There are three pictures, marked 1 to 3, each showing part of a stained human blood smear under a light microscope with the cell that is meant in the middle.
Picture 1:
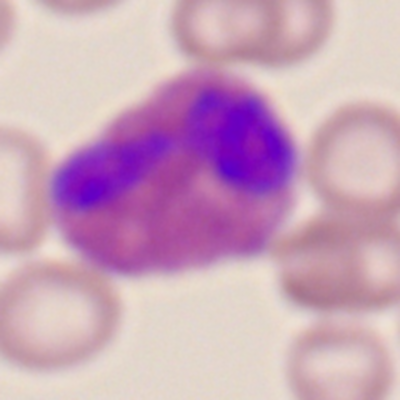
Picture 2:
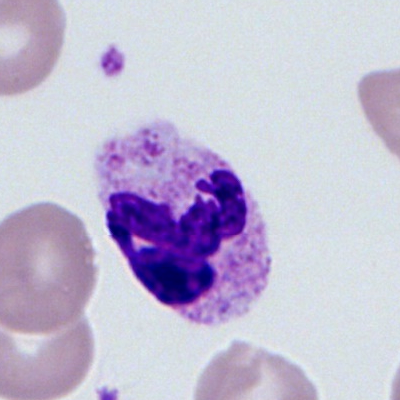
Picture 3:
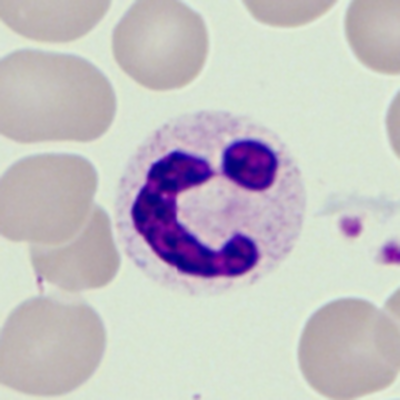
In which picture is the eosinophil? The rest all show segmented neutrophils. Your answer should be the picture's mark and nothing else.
1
